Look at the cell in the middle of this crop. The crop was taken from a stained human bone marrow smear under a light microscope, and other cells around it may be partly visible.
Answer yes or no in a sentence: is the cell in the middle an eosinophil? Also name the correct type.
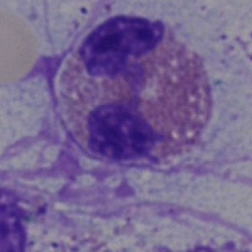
Yes, in the centre of this field sits an eosinophil.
